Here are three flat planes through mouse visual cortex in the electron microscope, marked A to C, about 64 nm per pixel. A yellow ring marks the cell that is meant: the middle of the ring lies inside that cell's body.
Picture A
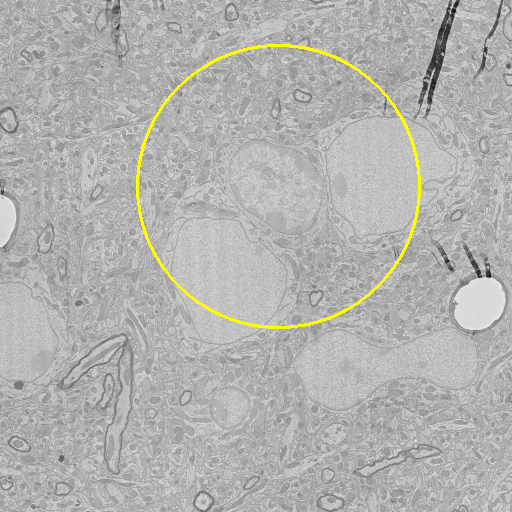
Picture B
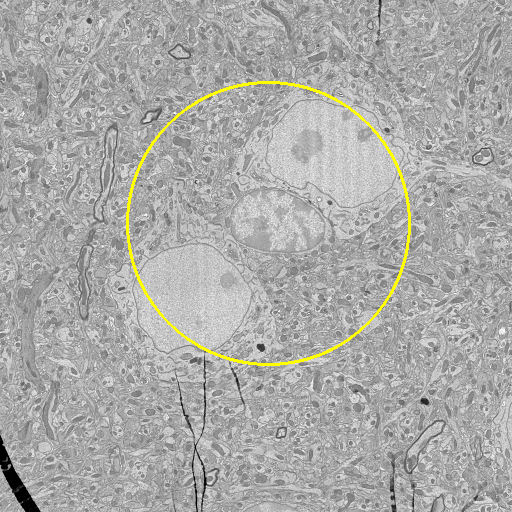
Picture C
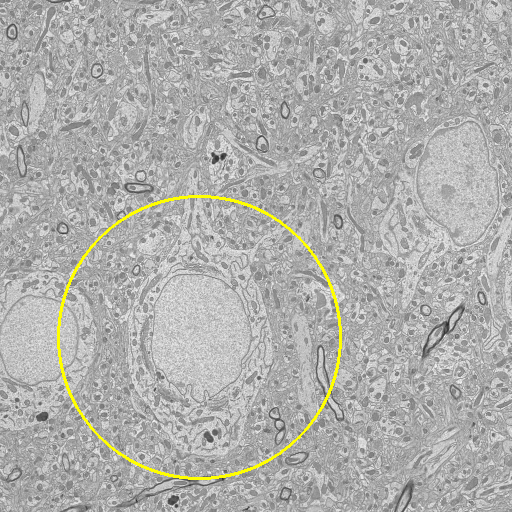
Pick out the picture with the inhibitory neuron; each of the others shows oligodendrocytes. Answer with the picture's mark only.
C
